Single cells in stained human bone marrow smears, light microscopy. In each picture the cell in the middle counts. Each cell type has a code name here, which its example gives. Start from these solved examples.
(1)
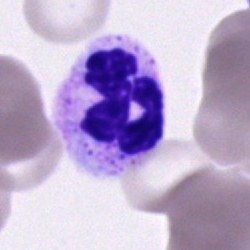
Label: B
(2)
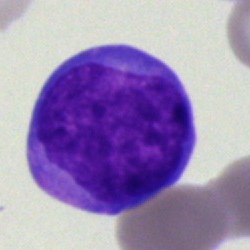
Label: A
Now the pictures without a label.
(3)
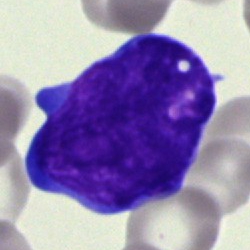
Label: A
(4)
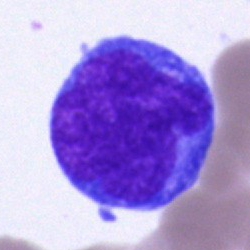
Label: A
